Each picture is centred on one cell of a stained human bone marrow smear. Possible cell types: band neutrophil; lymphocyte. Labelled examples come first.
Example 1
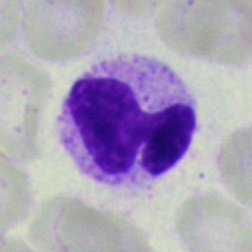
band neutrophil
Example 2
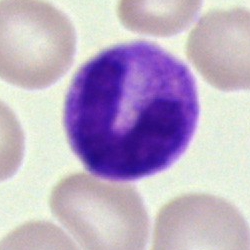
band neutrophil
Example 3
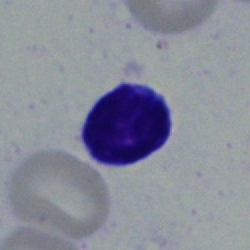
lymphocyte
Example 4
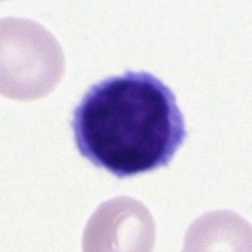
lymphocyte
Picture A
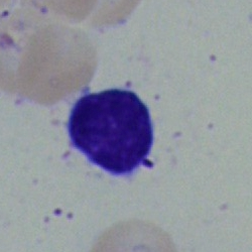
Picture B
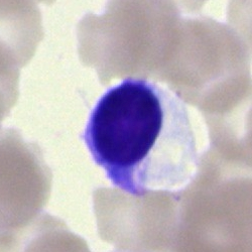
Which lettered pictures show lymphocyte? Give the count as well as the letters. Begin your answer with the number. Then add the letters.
2: A, B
